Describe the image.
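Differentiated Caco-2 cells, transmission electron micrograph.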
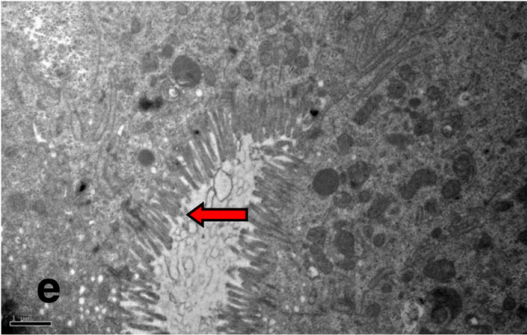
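The microvilli are closely packed, parallel, finger-like extensions lining the edges of that space. The pale space itself contains some loose, faint material cut across.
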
